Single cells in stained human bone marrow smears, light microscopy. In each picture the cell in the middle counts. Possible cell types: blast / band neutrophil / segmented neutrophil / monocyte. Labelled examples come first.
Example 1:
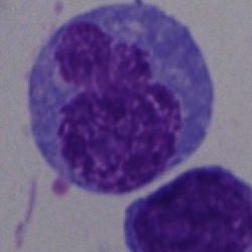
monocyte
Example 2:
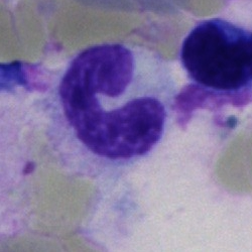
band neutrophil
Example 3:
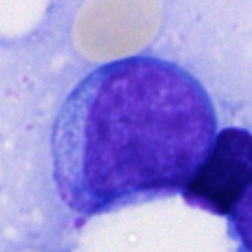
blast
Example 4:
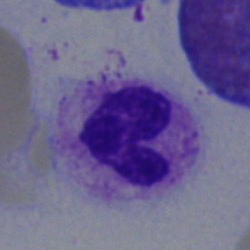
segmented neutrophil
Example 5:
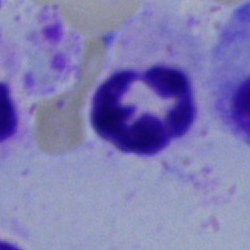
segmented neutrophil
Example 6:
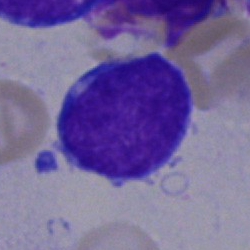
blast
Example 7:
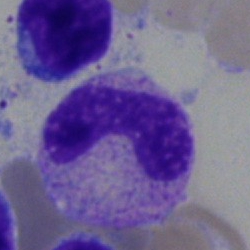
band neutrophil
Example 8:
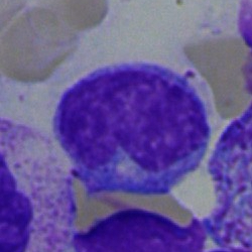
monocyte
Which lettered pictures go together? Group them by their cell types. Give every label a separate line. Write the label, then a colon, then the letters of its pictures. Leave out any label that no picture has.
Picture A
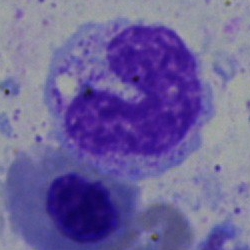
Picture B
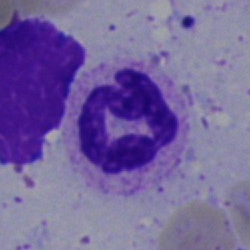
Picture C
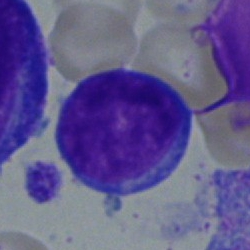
blast: C
segmented neutrophil: B
monocyte: A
